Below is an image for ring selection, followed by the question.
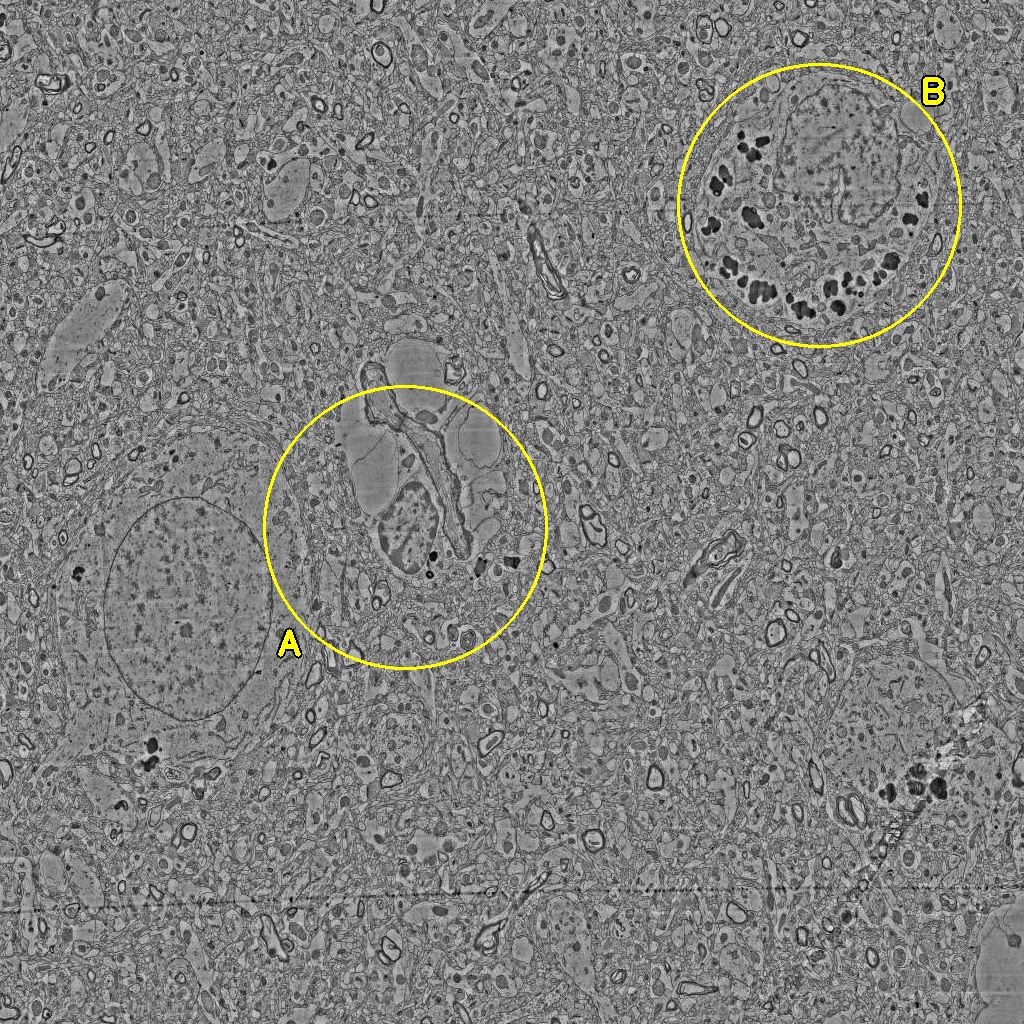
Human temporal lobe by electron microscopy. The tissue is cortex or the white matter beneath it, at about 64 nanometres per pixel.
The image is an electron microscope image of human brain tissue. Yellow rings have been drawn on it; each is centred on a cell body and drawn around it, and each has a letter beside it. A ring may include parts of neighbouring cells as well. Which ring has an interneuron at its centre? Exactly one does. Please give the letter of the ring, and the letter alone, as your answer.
B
